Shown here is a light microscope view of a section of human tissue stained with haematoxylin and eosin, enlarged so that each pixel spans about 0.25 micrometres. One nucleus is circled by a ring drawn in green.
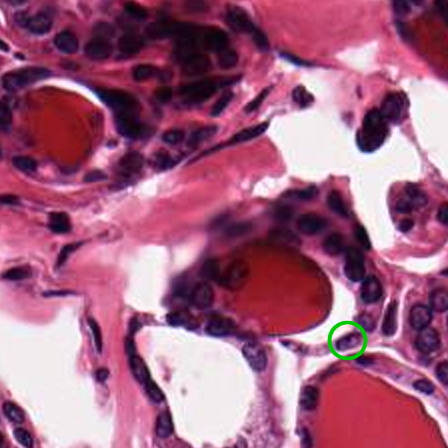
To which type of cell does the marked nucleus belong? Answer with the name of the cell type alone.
thyroid follicular cell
